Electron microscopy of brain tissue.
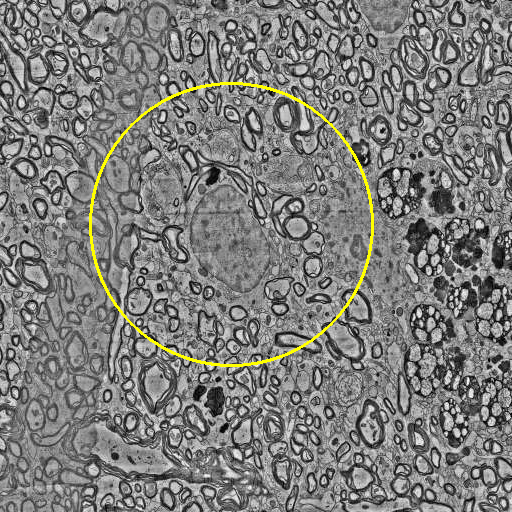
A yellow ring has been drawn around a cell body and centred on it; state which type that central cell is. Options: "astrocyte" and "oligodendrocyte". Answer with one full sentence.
The cell at the middle of the yellow ring is an oligodendrocyte in this picture.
